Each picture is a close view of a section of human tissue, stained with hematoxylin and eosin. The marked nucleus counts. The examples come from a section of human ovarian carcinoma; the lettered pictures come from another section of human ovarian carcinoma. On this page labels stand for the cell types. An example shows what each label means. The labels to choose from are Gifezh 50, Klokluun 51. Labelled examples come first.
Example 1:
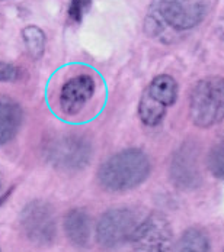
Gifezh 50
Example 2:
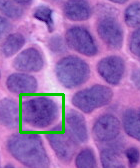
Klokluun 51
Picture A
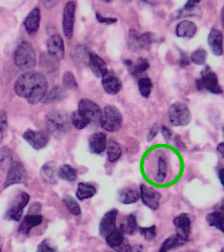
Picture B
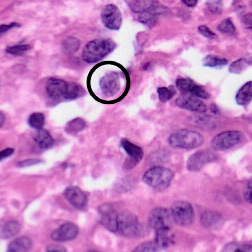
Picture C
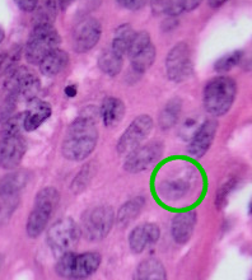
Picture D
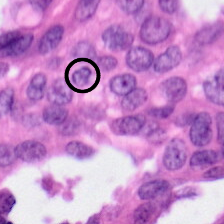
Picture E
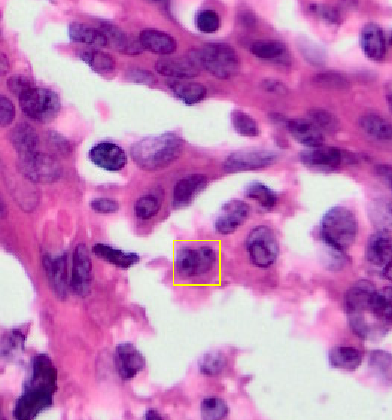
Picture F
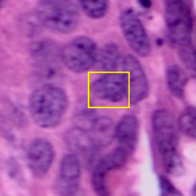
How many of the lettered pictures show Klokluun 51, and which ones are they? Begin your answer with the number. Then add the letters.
3, namely B, C, F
